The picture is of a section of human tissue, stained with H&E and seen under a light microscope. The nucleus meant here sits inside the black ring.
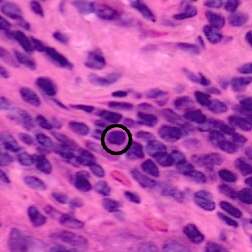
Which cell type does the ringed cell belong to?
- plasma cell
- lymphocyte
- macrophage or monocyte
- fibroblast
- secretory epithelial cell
lymphocyte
